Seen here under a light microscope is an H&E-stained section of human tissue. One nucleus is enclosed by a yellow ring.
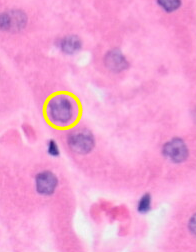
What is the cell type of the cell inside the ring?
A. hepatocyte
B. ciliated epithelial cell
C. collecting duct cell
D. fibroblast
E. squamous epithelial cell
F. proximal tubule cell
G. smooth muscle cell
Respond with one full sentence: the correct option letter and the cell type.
In keeping with option F, the cell inside the ring is a proximal tubule cell.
